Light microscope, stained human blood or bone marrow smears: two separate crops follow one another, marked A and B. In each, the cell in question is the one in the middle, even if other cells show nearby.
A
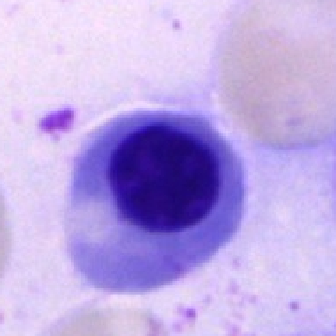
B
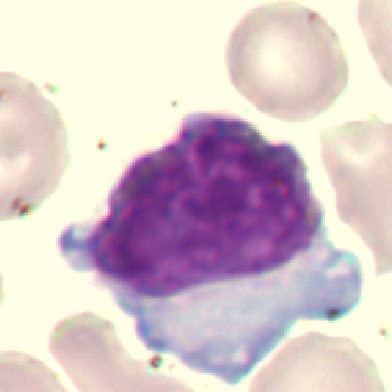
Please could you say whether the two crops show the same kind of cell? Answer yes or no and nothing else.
no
